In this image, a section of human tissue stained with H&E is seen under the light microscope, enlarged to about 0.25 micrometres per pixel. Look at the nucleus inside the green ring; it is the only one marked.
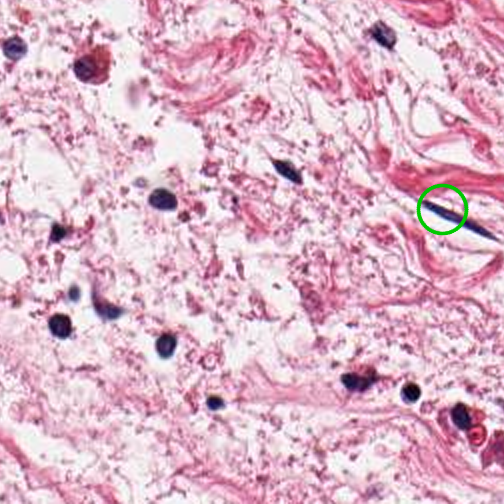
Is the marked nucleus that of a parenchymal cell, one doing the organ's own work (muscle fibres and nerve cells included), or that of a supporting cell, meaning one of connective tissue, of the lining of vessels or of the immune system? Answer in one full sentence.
It is a supporting cell to which the marked nucleus belongs.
